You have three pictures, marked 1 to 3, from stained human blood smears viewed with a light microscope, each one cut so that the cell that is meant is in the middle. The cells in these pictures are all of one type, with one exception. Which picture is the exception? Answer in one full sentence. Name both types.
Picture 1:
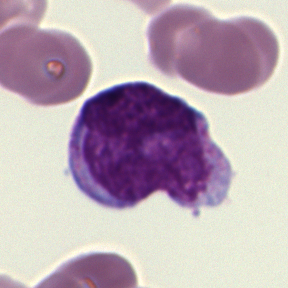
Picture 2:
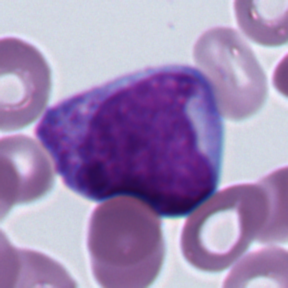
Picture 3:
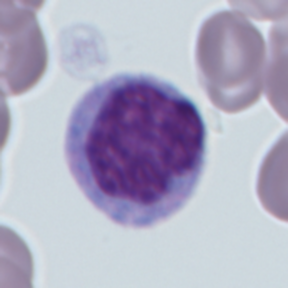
Picture 3 is the odd one out: it shows a monocyte, while the others show atypical promyelocytes.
